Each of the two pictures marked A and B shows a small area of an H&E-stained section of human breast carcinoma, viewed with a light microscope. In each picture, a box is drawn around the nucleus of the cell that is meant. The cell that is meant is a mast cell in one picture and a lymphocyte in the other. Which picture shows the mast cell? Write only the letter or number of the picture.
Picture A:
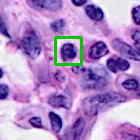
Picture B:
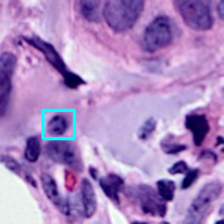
B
